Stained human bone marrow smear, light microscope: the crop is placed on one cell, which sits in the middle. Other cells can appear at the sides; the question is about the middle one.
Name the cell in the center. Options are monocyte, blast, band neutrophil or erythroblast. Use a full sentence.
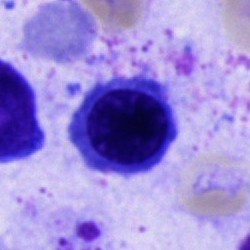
Here the centrally located cell is an erythroblast.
